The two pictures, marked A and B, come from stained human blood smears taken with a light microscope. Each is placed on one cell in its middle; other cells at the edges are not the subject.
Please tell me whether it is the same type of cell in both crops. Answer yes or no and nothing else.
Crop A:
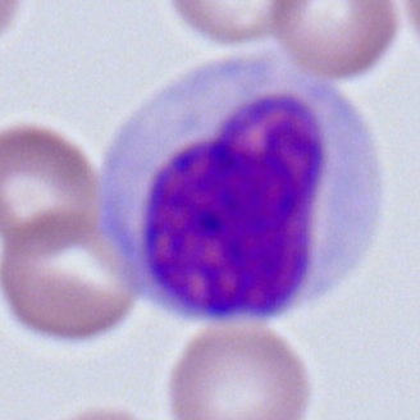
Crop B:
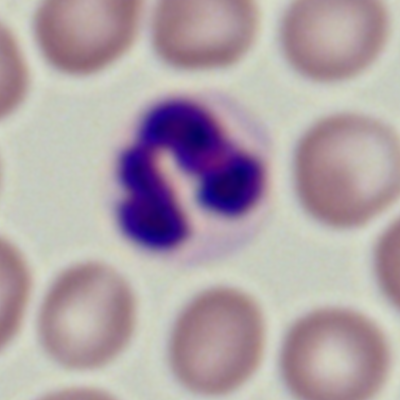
no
